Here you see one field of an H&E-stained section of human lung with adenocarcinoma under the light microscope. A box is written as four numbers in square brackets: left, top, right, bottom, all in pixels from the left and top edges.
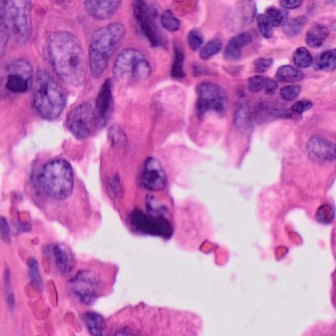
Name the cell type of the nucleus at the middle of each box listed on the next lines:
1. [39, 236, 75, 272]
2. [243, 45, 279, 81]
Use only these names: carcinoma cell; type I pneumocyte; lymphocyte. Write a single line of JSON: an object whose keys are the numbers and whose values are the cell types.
{"1": "carcinoma cell", "2": "lymphocyte"}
